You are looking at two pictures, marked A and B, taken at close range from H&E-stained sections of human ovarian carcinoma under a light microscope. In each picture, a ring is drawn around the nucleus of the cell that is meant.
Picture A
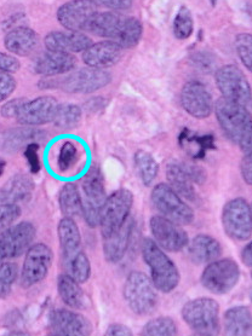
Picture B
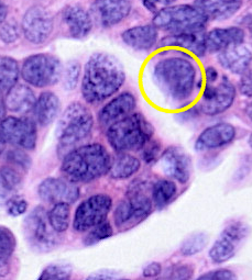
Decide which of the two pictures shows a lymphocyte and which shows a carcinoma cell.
A: lymphocyte
B: carcinoma cell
